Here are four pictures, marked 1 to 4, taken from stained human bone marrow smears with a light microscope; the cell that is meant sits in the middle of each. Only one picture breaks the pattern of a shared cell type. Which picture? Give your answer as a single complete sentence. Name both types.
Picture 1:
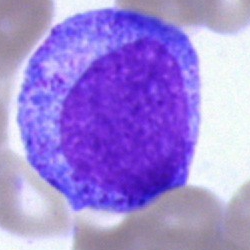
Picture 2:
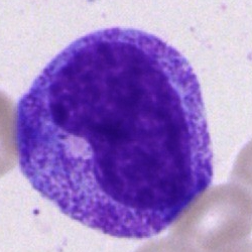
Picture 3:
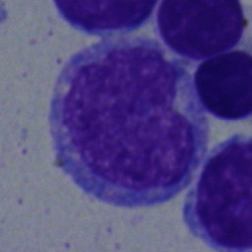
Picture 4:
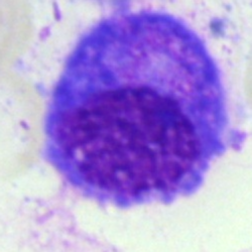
Unlike the rest, which show promyelocytes, picture 3 shows a monocyte.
